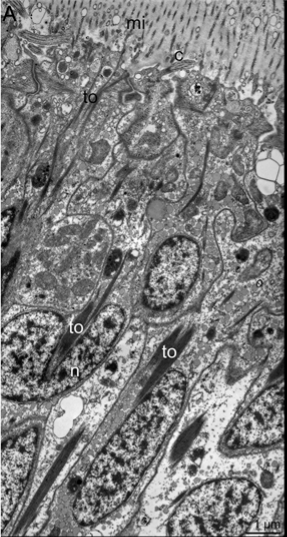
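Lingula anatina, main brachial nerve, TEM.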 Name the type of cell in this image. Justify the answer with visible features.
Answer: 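Epidermal cells. Closely packed elongated cells with oval nuclei lie side by side. A dense fringe of fine projections covers the apical surface at the top. Dark bundles of filaments run lengthwise through the cytoplasm.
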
